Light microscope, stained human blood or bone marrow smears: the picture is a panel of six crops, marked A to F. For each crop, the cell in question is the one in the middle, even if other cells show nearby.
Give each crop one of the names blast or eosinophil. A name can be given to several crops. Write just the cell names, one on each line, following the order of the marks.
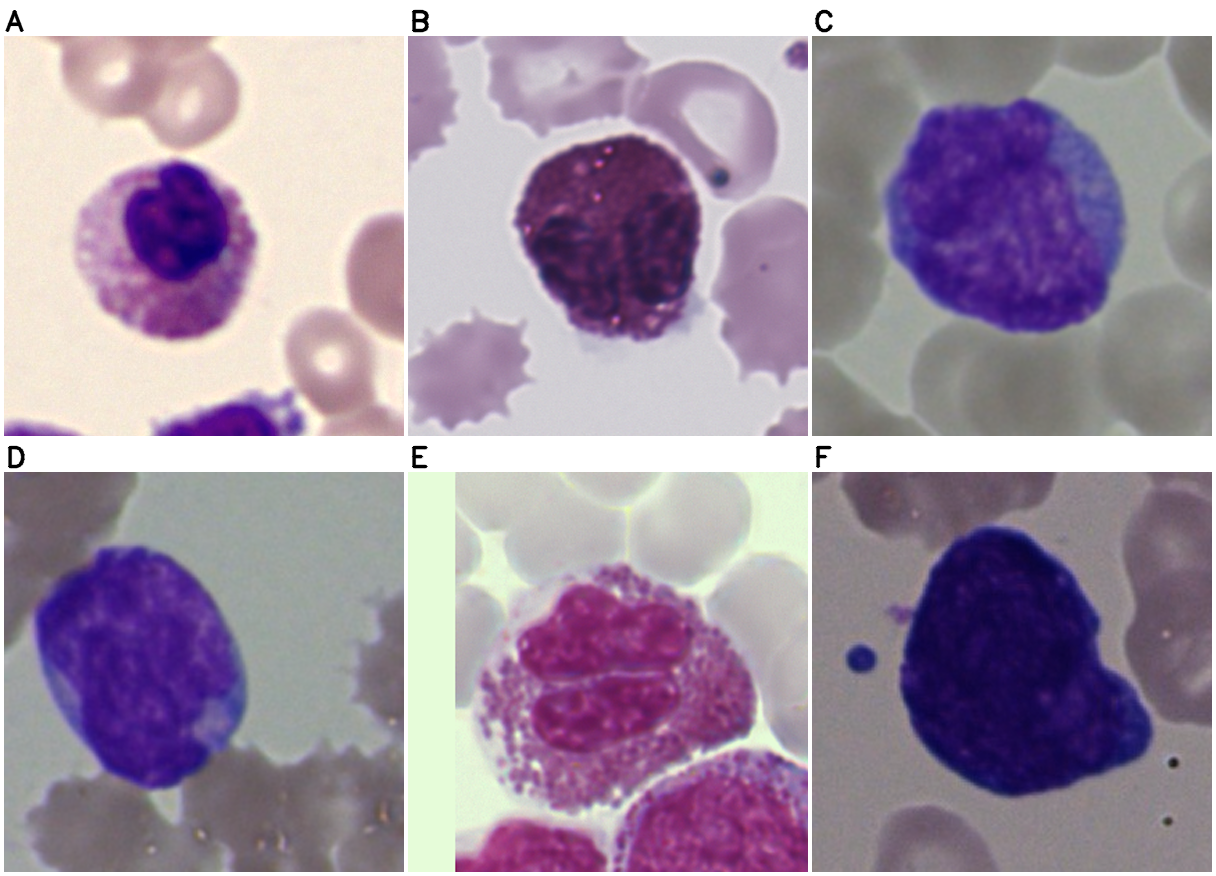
eosinophil
eosinophil
blast
blast
eosinophil
blast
